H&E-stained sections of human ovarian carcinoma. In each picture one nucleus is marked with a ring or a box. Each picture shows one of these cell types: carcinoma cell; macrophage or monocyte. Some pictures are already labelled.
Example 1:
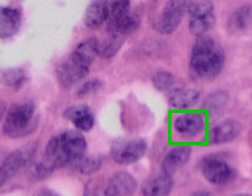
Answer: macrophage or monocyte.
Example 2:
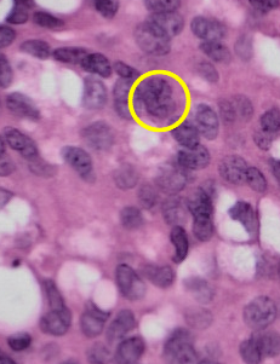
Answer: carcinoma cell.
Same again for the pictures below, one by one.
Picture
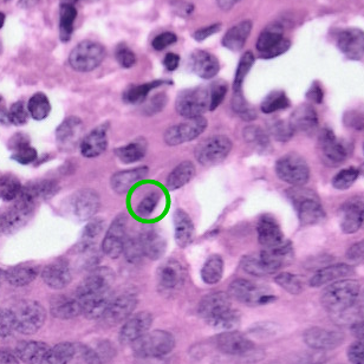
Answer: carcinoma cell.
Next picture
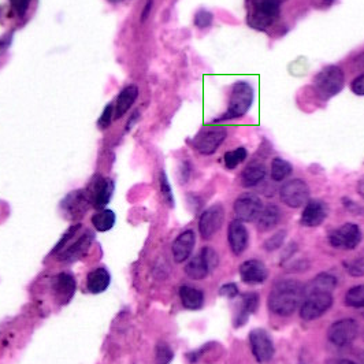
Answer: macrophage or monocyte.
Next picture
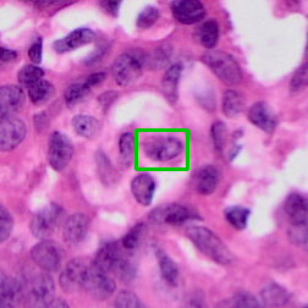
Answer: macrophage or monocyte.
